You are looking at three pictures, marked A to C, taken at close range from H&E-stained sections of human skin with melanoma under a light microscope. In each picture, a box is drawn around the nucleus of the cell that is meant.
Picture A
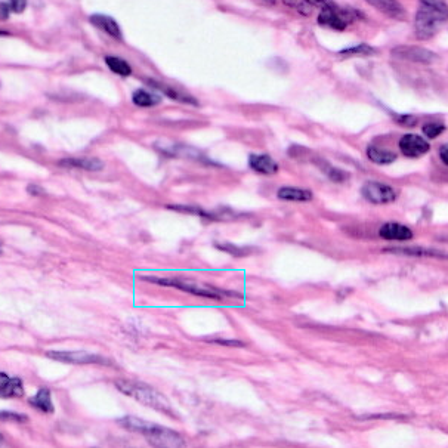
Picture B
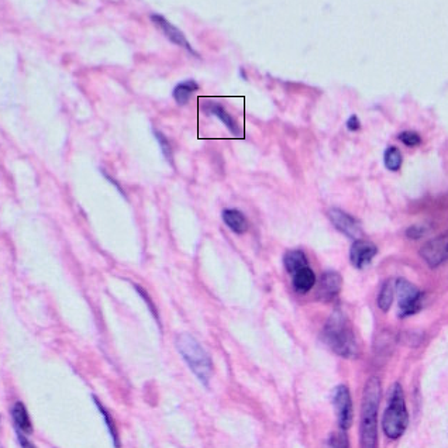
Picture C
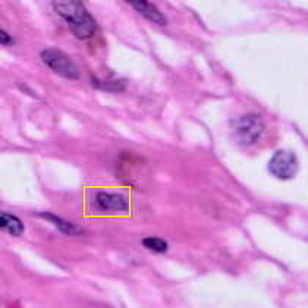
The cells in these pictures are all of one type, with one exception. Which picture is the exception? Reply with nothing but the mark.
C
